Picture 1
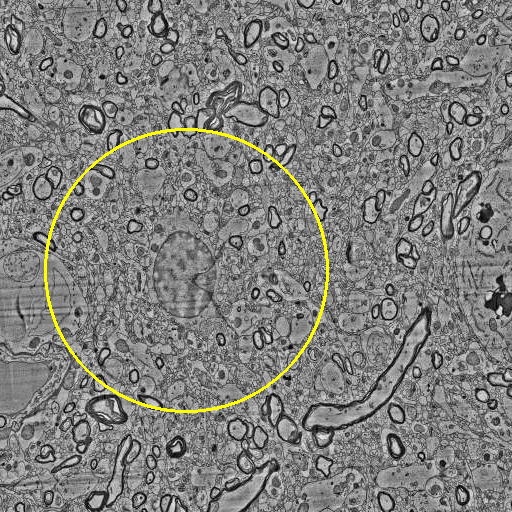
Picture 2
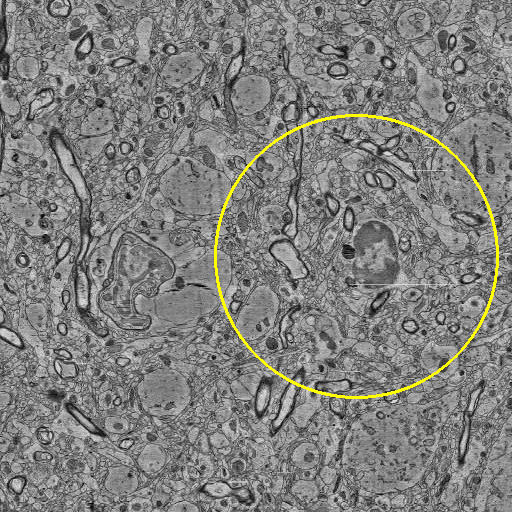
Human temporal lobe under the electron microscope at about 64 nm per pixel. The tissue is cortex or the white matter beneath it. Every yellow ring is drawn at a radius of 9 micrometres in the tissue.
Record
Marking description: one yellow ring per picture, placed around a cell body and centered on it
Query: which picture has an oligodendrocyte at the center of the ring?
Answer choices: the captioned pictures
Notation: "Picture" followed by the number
Picture 1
